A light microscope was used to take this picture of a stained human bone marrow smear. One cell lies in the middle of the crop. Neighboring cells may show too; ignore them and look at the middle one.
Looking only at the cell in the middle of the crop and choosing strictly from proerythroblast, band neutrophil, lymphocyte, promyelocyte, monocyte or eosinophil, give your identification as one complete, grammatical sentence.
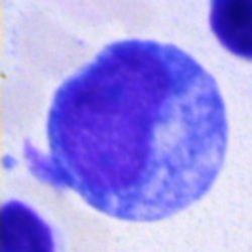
The central element of this crop is a cell, namely a promyelocyte.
